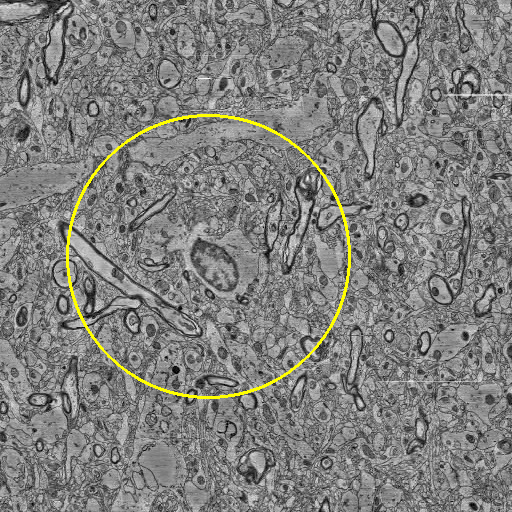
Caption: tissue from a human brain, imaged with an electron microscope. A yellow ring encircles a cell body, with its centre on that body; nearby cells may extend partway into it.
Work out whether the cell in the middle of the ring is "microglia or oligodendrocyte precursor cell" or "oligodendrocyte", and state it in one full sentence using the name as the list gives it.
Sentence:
In the picture, the cell that the yellow ring surrounds at its centre is a microglial cell or oligodendrocyte precursor cell.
